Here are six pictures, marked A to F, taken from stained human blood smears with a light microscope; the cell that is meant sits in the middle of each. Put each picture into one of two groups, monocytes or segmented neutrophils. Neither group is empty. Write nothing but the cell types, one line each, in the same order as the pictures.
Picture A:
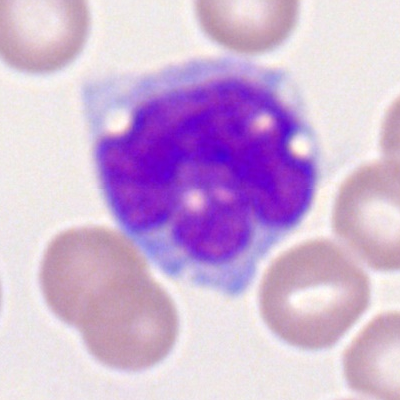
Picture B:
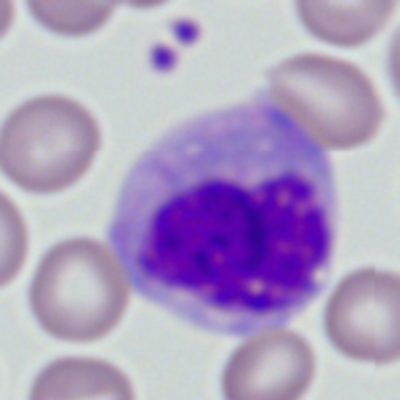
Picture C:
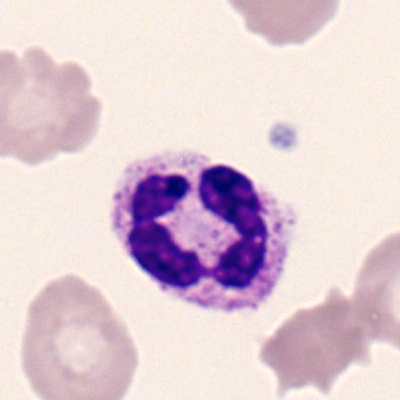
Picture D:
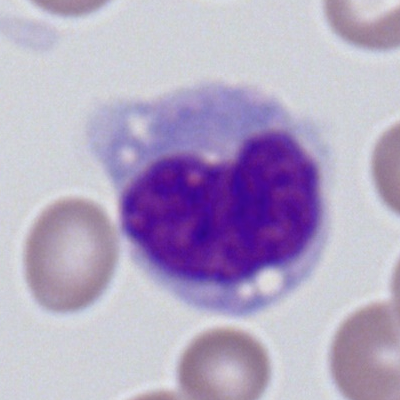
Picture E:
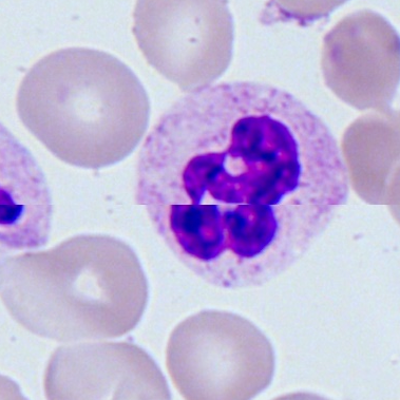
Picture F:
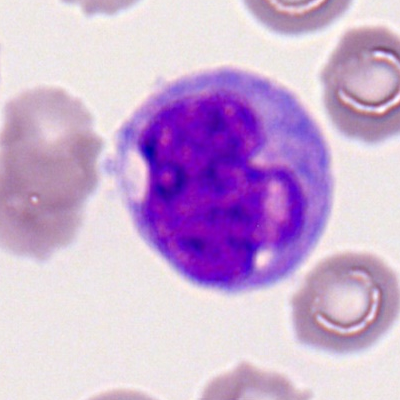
monocyte
monocyte
segmented neutrophil
monocyte
segmented neutrophil
monocyte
